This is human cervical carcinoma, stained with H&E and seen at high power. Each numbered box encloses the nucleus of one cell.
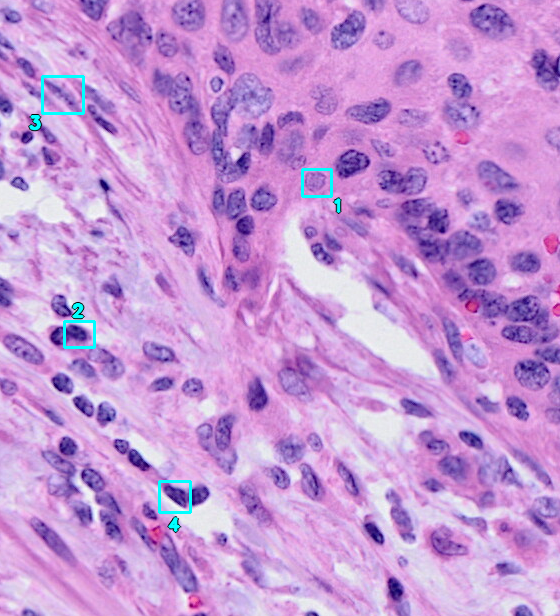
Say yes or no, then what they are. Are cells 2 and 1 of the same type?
No, that's wrong; cell 2 is a lymphocyte and cell 1 is a squamous carcinoma cell.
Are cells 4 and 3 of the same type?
No, cell 4 is a lymphocyte; cell 3 is a fibroblast.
